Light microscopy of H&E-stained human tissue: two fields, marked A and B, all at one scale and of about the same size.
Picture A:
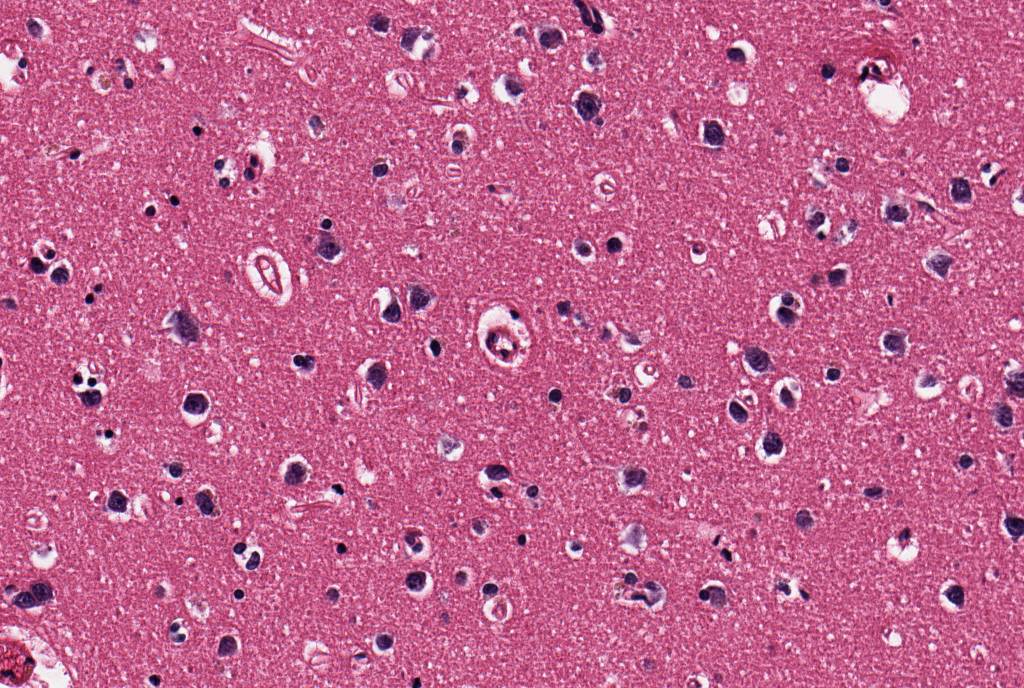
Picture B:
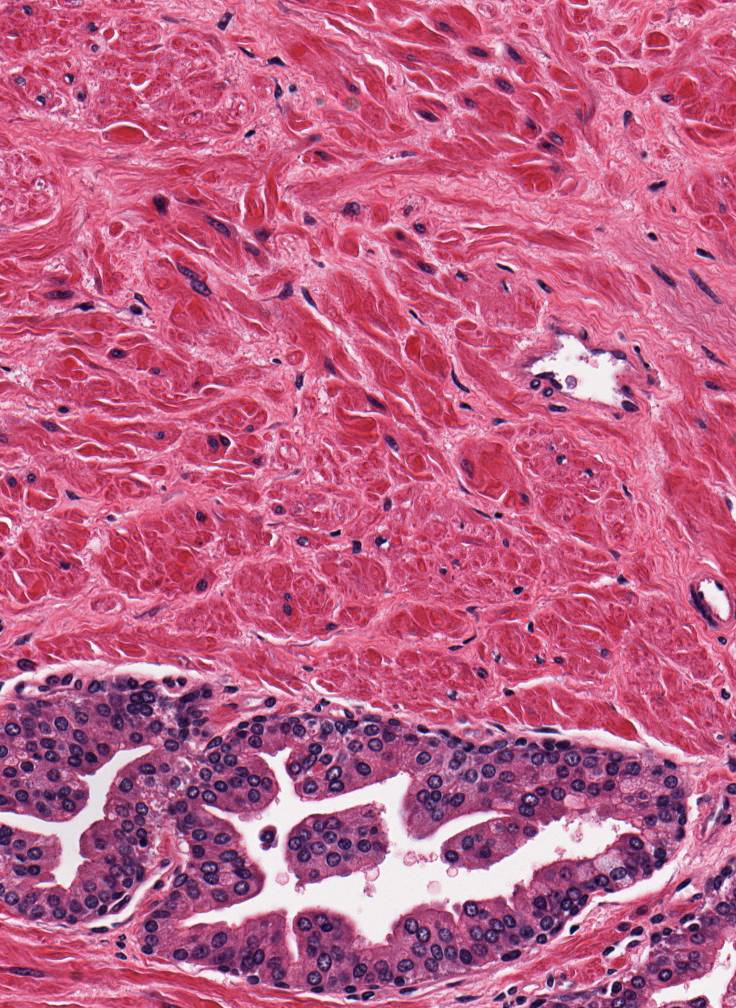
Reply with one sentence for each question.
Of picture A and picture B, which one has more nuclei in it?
Picture B holds more nuclei than picture A.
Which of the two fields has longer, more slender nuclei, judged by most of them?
The nuclei are more elongated in picture B.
